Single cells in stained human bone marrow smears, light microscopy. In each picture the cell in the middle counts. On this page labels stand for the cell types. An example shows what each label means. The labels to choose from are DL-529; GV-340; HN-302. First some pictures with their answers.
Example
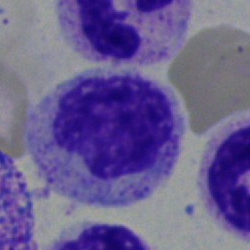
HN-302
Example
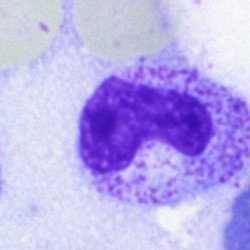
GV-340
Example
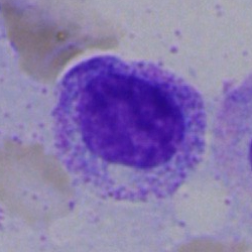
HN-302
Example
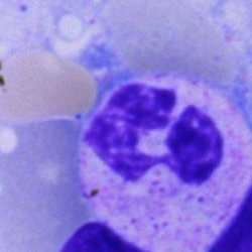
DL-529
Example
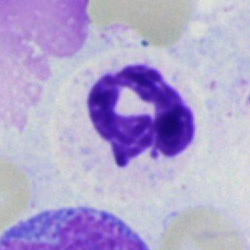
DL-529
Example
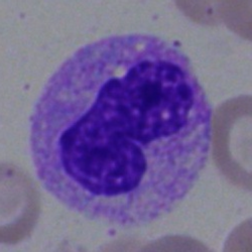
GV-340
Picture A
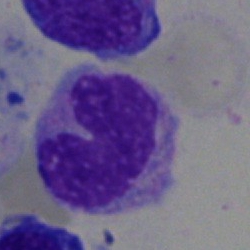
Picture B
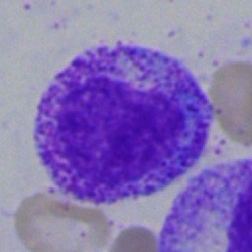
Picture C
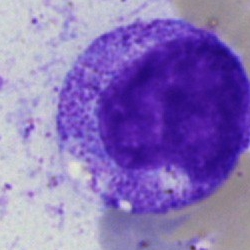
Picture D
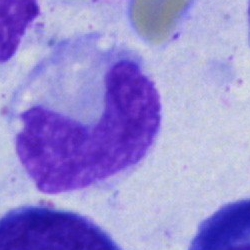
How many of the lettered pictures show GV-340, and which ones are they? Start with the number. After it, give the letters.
Count: 2 (A, D)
